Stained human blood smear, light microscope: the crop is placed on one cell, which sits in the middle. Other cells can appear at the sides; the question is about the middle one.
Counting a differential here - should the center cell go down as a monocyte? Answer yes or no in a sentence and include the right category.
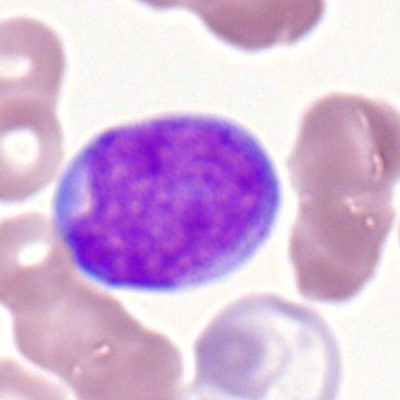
No, not a monocyte but a myeloblast is the cell in the centre.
